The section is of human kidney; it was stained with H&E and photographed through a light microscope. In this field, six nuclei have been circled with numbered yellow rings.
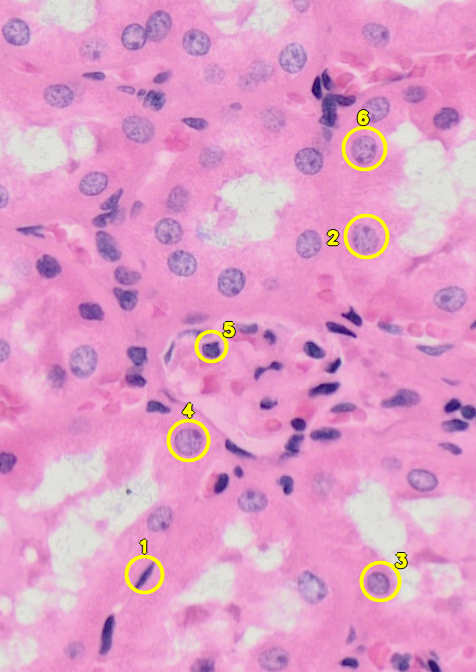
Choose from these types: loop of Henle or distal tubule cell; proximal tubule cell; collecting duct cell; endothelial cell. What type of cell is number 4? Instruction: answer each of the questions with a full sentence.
Number 4 among the marked cells is a proximal tubule cell.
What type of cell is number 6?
Cell number 6 in this section is a proximal tubule cell.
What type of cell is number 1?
In this section, number 1 marks an endothelial cell.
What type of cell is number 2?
The numbered cell 2 in this field is a proximal tubule cell.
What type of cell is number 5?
The mark numbered 5 indicates the nucleus of an endothelial cell.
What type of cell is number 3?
The cell given label 3 is a proximal tubule cell.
